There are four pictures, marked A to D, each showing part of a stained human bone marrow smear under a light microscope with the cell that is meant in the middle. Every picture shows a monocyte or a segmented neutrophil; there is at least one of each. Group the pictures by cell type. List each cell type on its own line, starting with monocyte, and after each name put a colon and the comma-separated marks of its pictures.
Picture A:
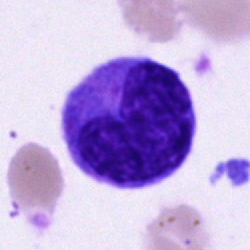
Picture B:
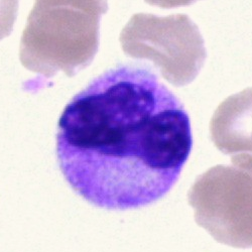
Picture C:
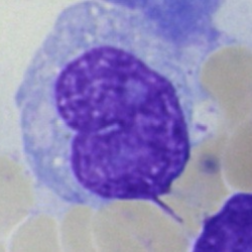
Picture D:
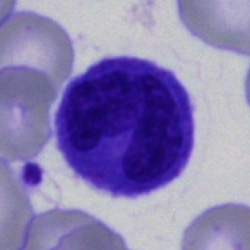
monocyte: A, C, D
segmented neutrophil: B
